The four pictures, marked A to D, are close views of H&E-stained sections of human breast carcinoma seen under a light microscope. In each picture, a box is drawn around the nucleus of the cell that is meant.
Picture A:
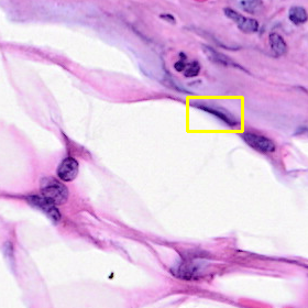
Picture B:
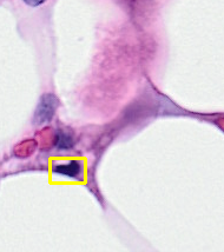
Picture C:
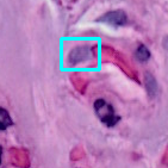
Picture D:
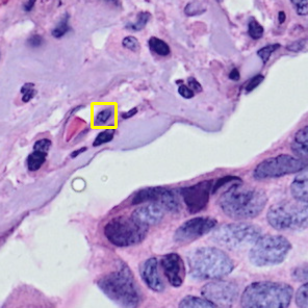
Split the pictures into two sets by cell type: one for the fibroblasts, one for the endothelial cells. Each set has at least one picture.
A: fibroblast
B: endothelial cell
C: endothelial cell
D: endothelial cell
